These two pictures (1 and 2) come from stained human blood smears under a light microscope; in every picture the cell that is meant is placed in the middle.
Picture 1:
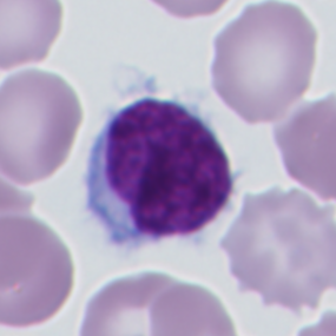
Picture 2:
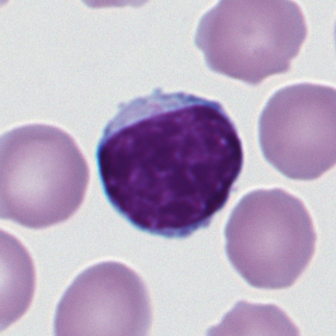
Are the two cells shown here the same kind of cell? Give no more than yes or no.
no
